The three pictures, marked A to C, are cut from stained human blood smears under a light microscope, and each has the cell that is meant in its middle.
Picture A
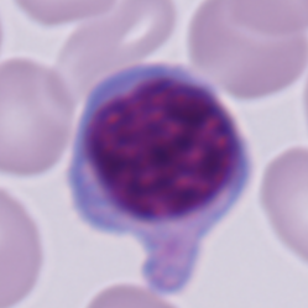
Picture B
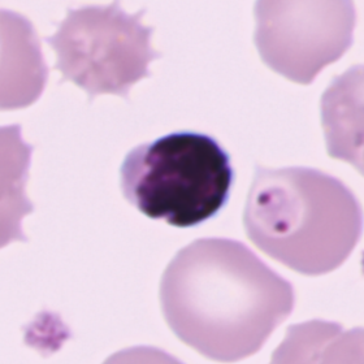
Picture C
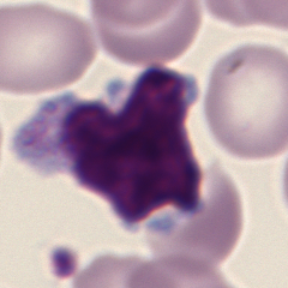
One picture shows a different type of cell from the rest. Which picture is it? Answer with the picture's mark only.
B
